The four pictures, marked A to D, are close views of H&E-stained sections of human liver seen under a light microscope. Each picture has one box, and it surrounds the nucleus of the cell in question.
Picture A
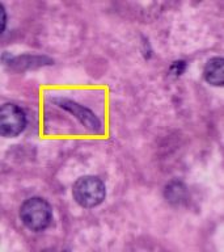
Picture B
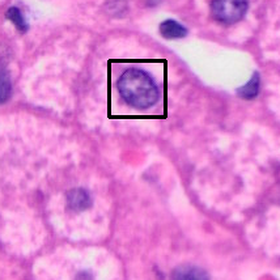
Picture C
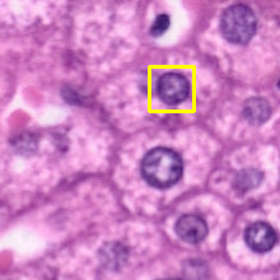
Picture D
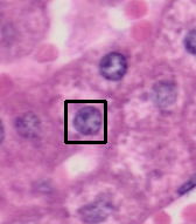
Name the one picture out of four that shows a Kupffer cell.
A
